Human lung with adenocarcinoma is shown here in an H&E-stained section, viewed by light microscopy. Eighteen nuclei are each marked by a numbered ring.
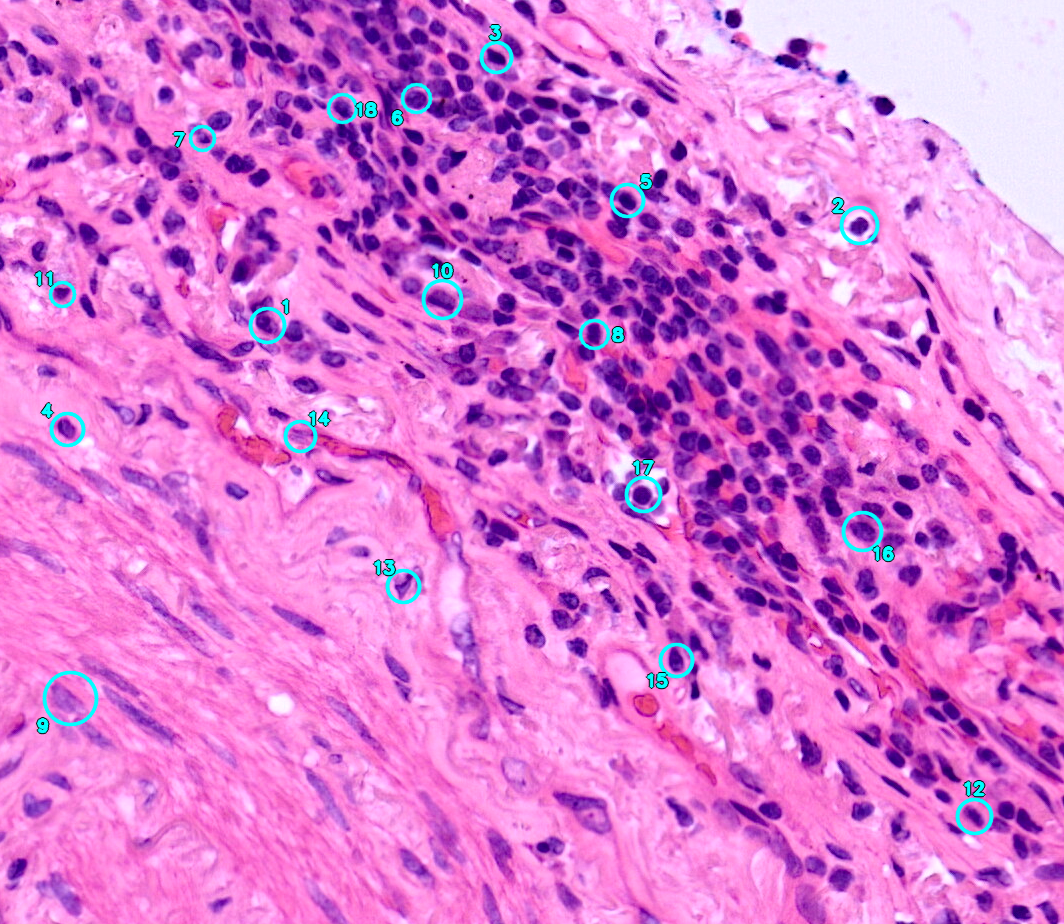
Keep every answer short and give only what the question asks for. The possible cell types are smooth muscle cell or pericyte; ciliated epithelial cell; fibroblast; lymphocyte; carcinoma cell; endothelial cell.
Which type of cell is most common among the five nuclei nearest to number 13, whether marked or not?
endothelial cell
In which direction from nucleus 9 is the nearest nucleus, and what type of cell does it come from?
a smooth muscle cell or pericyte below nucleus 9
